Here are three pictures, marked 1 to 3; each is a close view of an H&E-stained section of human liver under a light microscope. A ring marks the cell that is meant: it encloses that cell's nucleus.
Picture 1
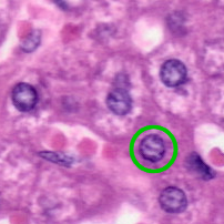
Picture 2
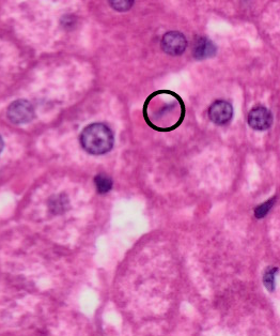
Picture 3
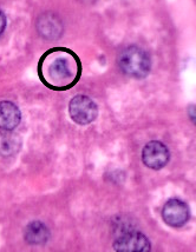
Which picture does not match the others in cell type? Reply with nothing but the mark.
1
